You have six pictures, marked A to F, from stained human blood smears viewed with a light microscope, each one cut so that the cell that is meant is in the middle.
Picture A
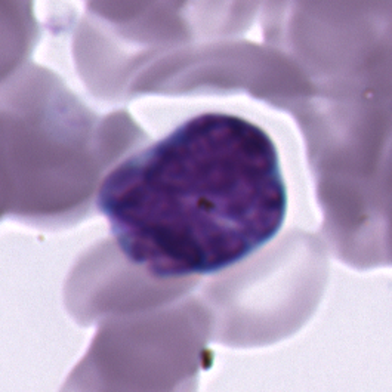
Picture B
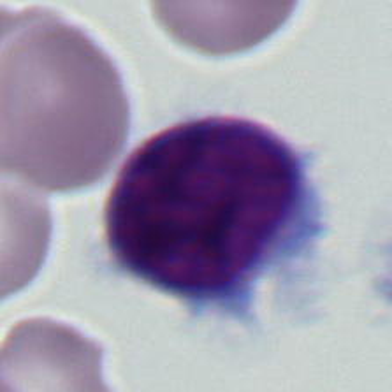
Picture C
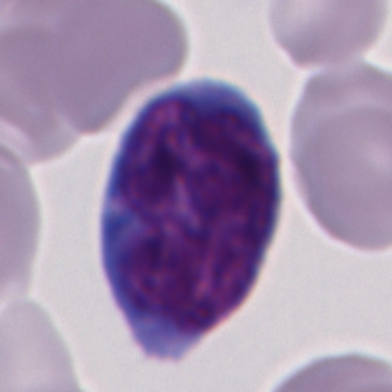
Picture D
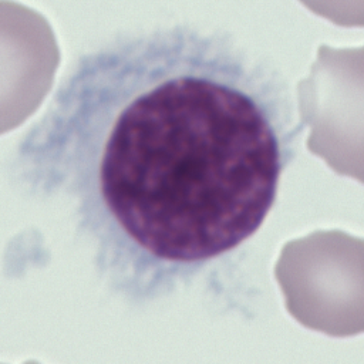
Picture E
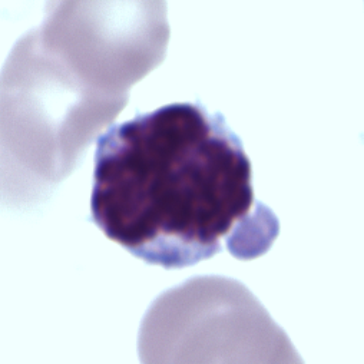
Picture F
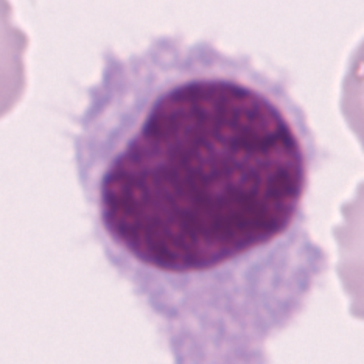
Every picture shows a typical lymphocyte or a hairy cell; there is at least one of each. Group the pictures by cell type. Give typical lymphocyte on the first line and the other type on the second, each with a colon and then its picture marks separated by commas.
typical lymphocyte: A, C, E
hairy cell: B, D, F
